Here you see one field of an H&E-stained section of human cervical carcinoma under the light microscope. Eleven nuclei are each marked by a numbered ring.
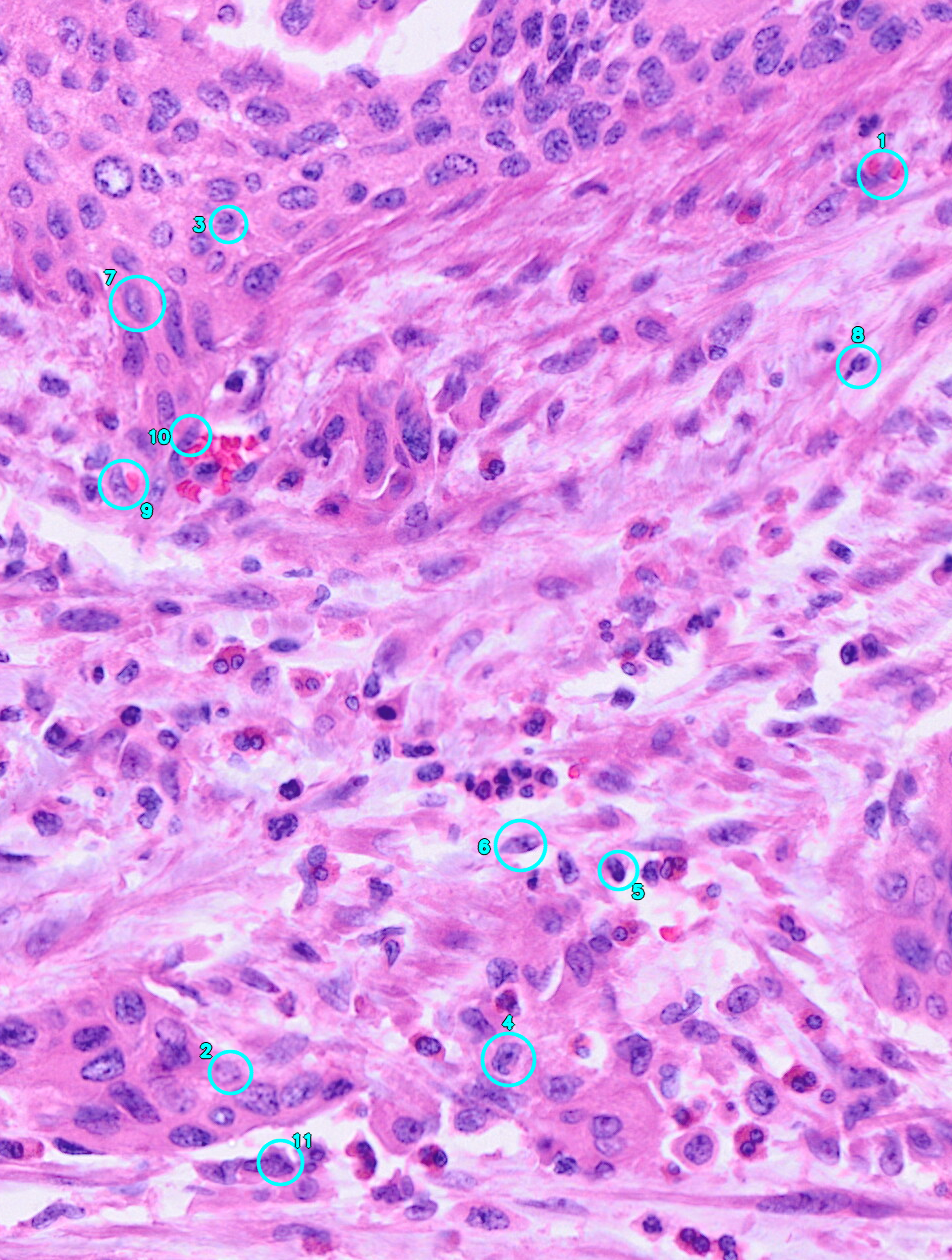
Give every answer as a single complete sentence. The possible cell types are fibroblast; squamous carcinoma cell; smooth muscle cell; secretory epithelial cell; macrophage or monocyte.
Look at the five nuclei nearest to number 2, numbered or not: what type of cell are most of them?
The majority of the five nuclei closest to number 2 belong to squamous carcinoma cells.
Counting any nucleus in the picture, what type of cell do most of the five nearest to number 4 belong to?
Around number 4, most of the five nearest nuclei are those of macrophages or monocytes.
